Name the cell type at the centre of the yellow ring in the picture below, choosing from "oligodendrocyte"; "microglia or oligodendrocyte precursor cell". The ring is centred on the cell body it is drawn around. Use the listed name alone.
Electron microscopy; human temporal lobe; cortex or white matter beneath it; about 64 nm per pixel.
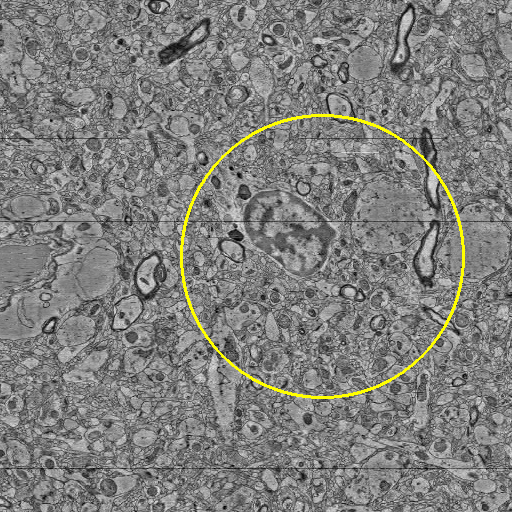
microglia or oligodendrocyte precursor cell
